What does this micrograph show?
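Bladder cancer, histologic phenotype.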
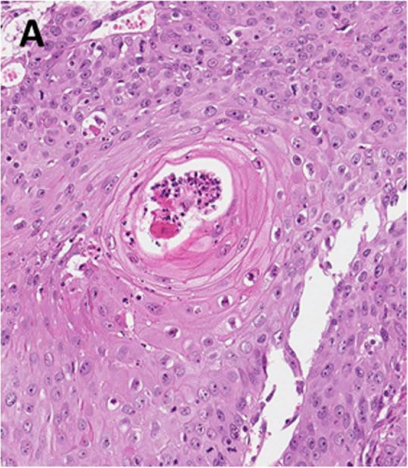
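This is a carcinoma with squamous differentiation, made of sheets of large polygonal tumour cells. The cells have abundant pink cytoplasm and round to oval nuclei, many with visible nucleoli. In the centre the cells flatten and wrap concentrically around a core of dense pink keratin, forming a keratin pearl. The pearl's centre contains debris and clustered inflammatory cells. Narrow clefts and small vessels separate the nests of tumour cells.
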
